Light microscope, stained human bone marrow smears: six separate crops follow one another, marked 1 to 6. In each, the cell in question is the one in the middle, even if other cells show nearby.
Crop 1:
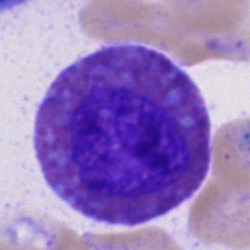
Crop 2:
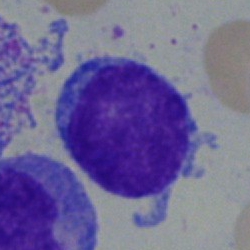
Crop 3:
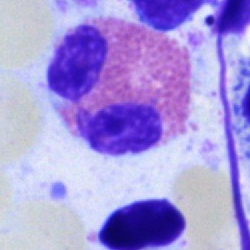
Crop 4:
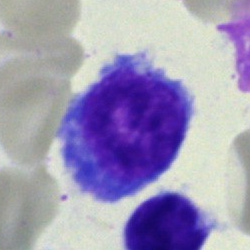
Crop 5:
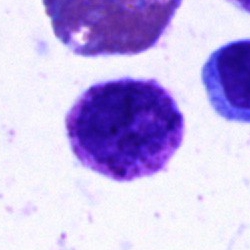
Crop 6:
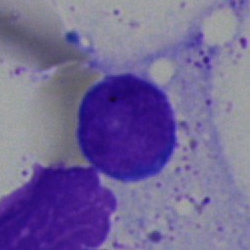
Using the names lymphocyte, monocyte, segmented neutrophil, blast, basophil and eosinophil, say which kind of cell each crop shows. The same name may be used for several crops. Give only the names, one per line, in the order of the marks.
eosinophil
blast
eosinophil
blast
basophil
lymphocyte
